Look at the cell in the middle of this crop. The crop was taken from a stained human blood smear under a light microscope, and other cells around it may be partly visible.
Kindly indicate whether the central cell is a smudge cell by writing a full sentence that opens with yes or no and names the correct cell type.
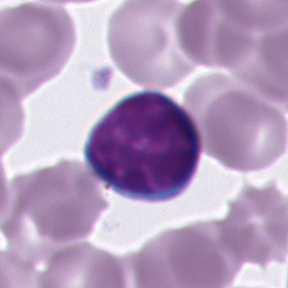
No, the centred cell is a typical lymphocyte, and it is not a smudge cell.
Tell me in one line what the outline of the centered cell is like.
If you check the edge, you will find it smooth without projections.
